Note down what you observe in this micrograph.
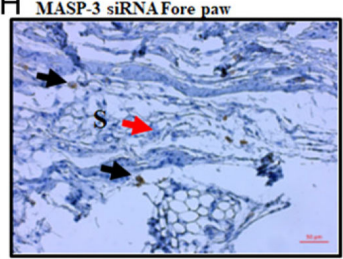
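Thin, wavy bands of pale blue tissue with scattered elongated nuclei run across the field, separated by clear spaces. A few single cells carry a dark brown deposit and lie along these bands. Near the bottom lies a cluster of empty, thin-walled, round to polygonal spaces.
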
